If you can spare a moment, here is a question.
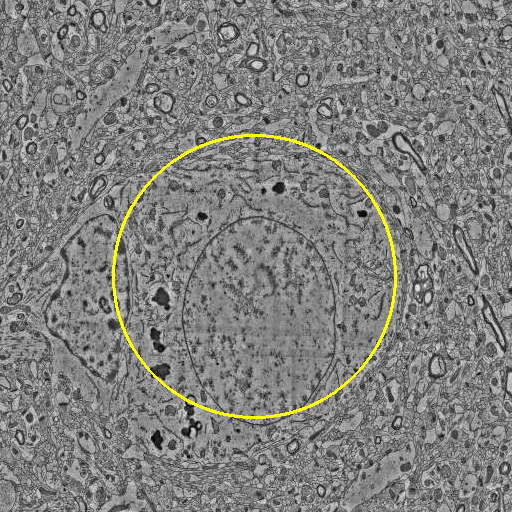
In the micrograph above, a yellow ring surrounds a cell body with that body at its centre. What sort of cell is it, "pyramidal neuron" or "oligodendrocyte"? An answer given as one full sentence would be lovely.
Centred inside the yellow ring, the cell body shown belongs to a pyramidal neuron in this micrograph.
